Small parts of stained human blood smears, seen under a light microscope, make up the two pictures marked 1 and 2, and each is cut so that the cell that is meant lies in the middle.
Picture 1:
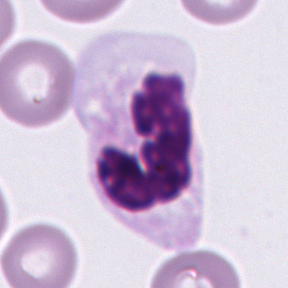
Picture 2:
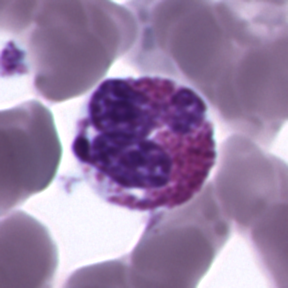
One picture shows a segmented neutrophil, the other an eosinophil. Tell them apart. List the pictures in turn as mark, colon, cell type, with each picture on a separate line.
1: segmented neutrophil
2: eosinophil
